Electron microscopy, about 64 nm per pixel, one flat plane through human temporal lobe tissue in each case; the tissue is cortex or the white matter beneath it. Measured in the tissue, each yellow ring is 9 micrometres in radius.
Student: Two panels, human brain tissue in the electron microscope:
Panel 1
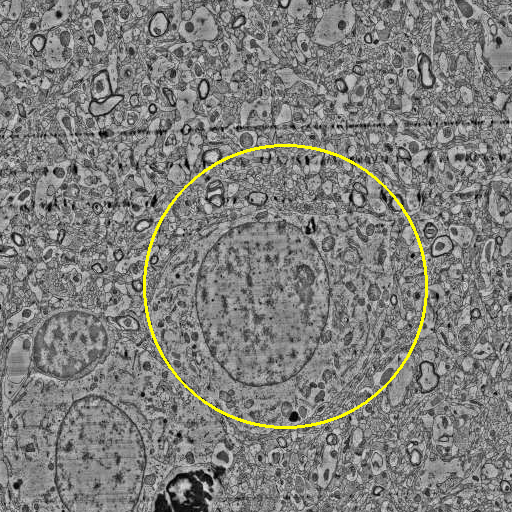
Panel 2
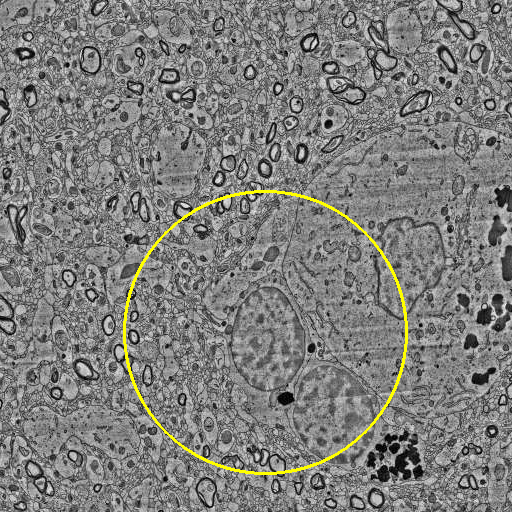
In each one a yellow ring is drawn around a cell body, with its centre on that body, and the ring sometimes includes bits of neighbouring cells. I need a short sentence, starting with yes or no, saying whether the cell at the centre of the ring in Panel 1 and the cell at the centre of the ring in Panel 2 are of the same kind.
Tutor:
No, they are two kinds of cell.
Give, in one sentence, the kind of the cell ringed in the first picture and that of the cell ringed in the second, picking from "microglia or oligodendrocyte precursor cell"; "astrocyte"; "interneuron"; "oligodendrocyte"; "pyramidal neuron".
For the first picture it is an interneuron; for the second, an oligodendrocyte.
